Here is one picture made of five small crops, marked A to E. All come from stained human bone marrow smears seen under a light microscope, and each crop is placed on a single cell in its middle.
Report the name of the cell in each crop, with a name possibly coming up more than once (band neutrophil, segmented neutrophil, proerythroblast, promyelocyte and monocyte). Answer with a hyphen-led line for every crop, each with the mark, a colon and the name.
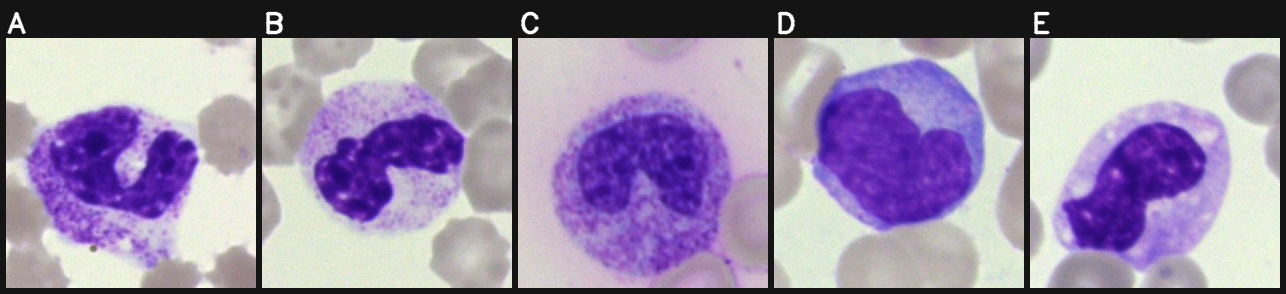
- A: segmented neutrophil
- B: segmented neutrophil
- C: band neutrophil
- D: monocyte
- E: band neutrophil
